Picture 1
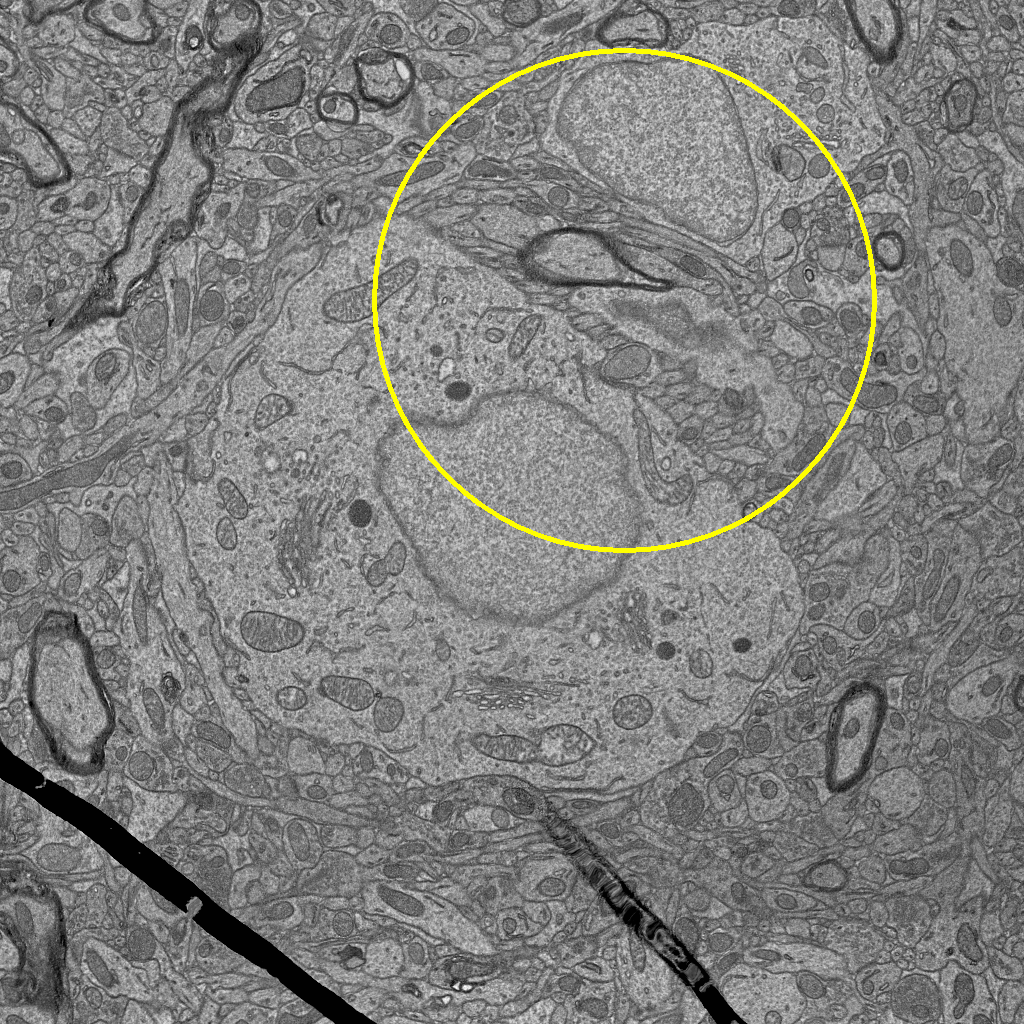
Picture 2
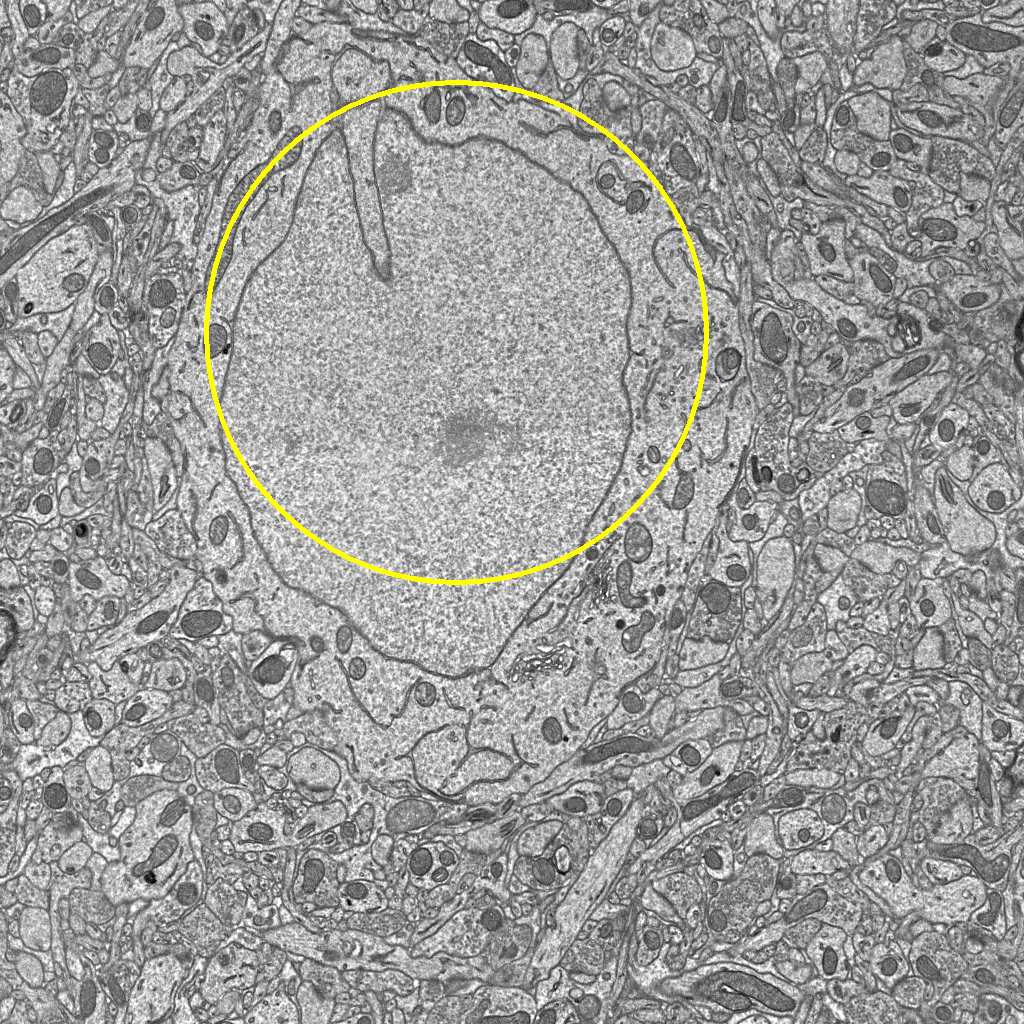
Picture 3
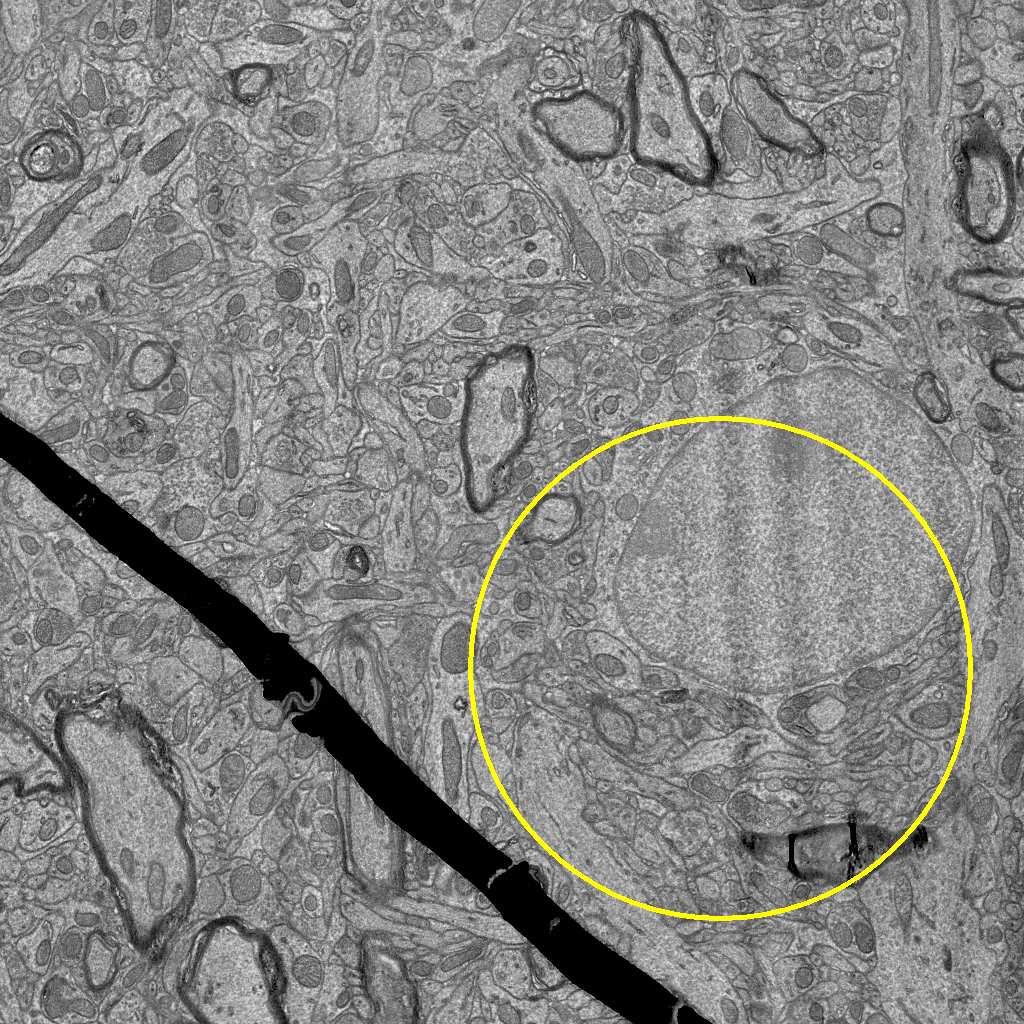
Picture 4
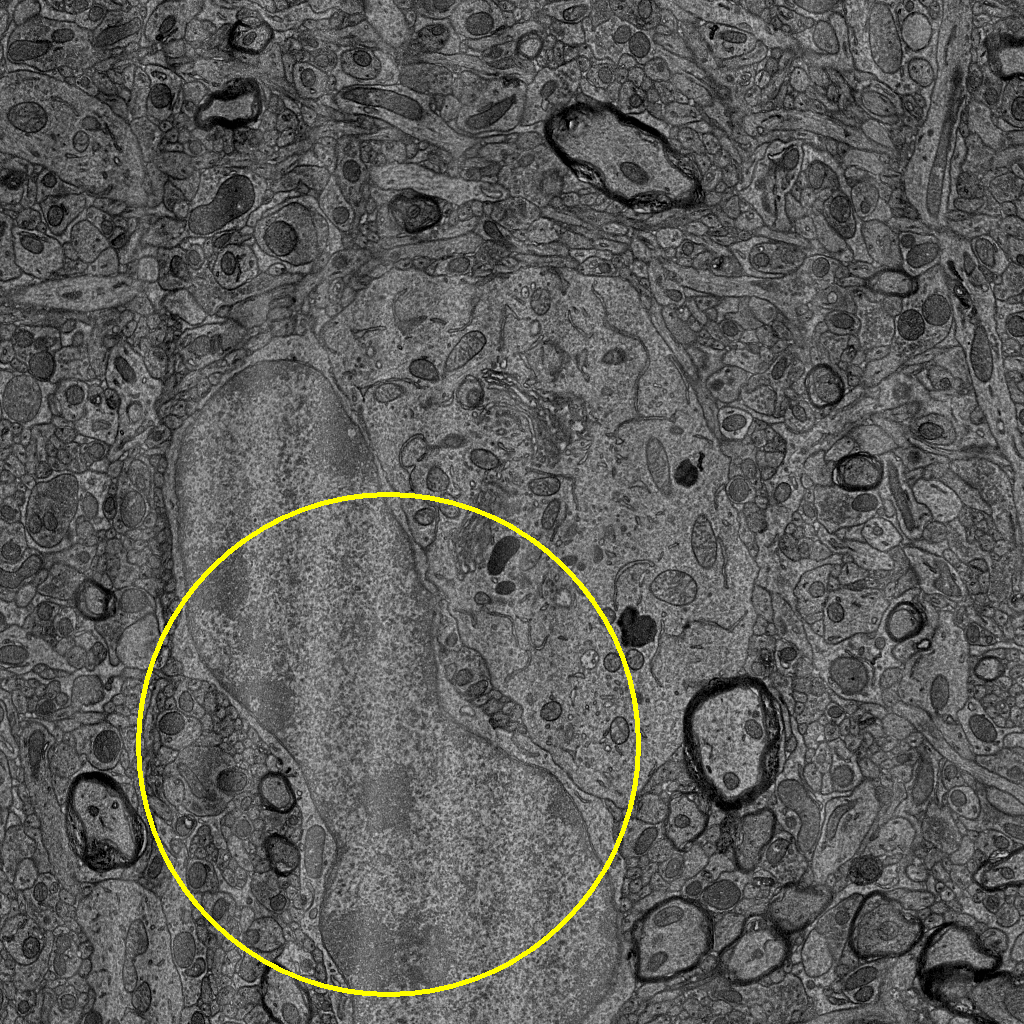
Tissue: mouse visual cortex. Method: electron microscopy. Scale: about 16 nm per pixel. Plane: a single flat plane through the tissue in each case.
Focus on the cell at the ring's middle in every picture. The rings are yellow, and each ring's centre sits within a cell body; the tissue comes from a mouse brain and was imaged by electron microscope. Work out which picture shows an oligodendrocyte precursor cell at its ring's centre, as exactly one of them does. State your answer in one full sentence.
In picture 1, the ring's centre lies inside the cell in question.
